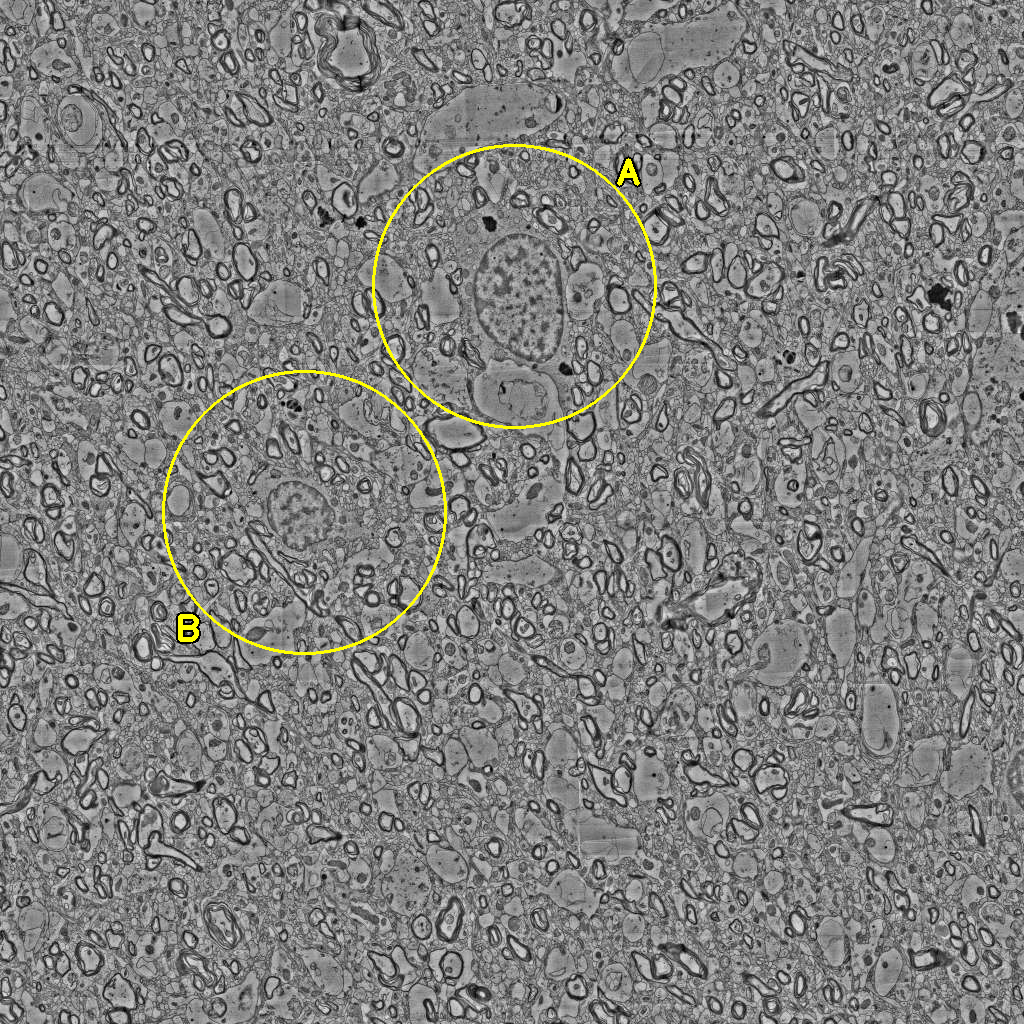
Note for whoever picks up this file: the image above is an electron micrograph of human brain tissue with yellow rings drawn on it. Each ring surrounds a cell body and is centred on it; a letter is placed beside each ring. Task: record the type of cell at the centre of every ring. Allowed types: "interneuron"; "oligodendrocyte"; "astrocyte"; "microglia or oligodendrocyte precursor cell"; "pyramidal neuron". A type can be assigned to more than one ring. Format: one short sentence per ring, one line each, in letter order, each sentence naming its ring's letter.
The ring marked A is centred on an oligodendrocyte.
The ring marked B is centred on an oligodendrocyte.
